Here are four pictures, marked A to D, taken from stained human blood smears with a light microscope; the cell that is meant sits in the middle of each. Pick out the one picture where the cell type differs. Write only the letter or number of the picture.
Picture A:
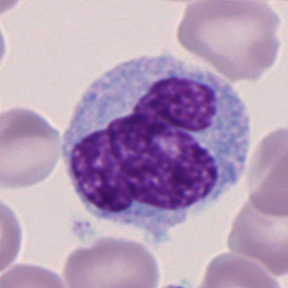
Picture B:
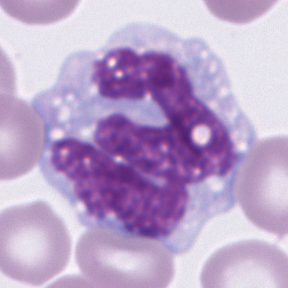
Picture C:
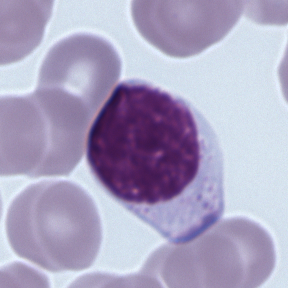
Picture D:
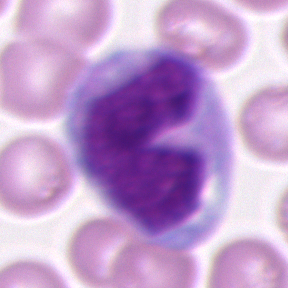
C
